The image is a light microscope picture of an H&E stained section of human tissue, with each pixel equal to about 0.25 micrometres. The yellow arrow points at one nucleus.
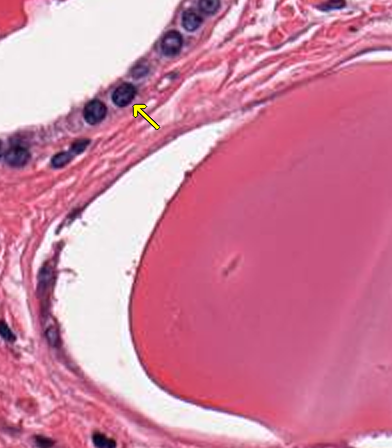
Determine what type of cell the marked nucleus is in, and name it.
thyroid follicular cell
